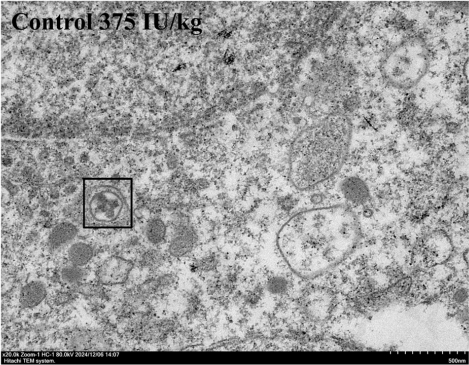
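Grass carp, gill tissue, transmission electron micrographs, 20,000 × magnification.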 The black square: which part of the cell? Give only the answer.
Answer: Autophagosome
